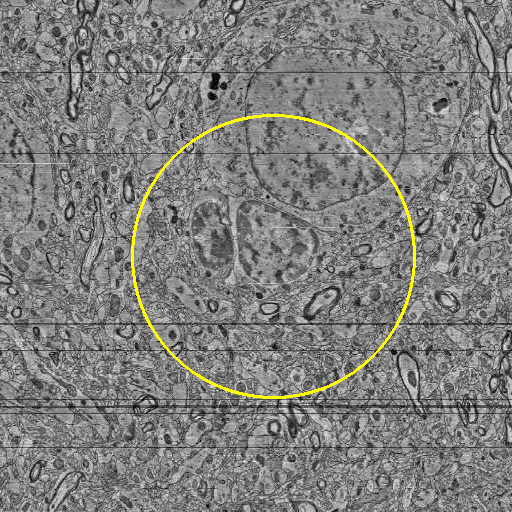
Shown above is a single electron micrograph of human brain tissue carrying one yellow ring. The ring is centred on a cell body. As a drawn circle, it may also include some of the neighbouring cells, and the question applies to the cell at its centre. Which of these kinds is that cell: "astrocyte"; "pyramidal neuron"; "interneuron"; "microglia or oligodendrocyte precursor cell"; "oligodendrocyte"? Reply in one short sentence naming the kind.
The cell marked by the ring is a microglial cell or oligodendrocyte precursor cell.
